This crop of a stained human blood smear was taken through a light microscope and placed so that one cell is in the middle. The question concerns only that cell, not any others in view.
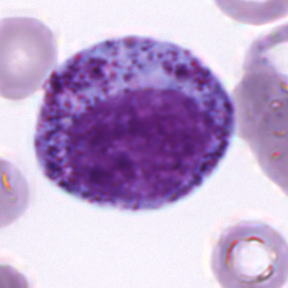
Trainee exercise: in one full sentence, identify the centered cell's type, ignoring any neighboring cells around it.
The cell positioned in the middle of the field is a promyelocyte.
